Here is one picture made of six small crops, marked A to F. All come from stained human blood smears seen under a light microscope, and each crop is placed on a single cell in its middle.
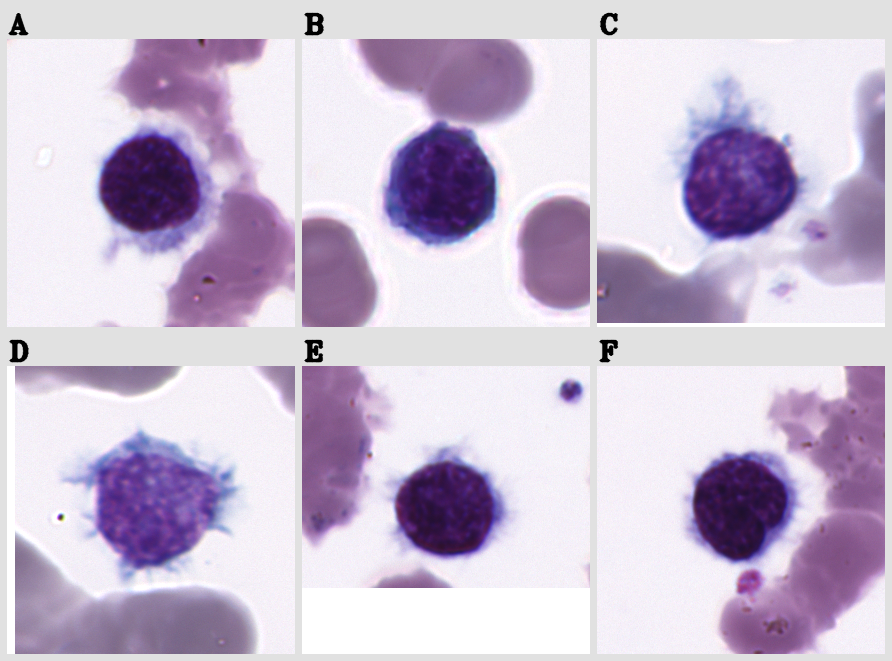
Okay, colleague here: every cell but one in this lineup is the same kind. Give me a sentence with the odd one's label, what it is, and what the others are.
Identified in crop B is a plasma cell, whereas the other crops all show hairy cells.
